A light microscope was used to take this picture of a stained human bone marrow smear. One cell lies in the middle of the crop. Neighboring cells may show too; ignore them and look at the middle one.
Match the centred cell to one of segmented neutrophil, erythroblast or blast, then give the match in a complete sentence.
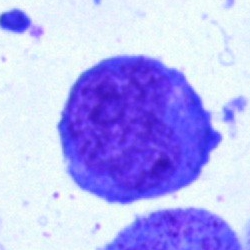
The cell in the middle of this crop is a blast.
